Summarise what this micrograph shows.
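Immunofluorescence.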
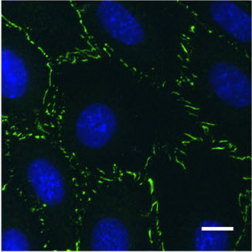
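Flat cultured cells with large oval blue nuclei are seen, their borders traced by a green line made of short, closely set dashes. The green dashes run in a zipper-like pattern along the contacts between neighbouring cells, outlining polygonal territories, while the cell interiors are dark.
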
